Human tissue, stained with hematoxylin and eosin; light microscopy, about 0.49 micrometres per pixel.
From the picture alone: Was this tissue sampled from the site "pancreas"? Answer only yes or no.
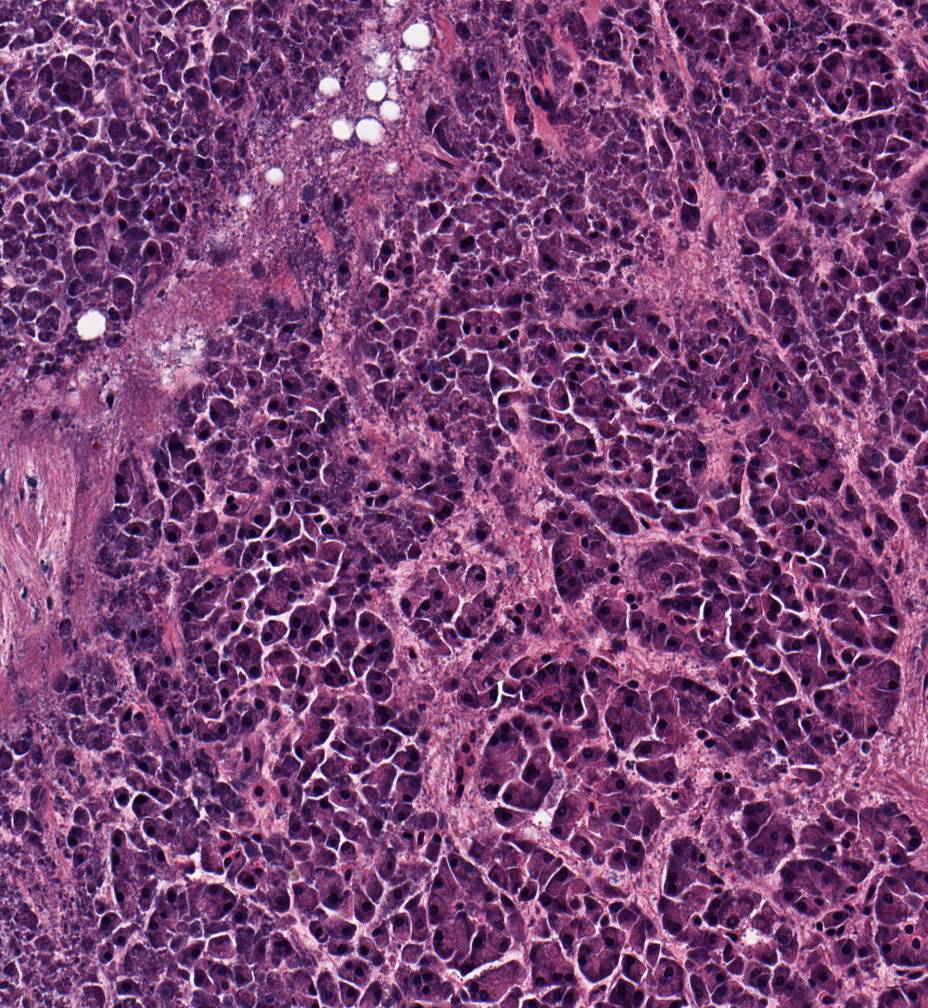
yes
